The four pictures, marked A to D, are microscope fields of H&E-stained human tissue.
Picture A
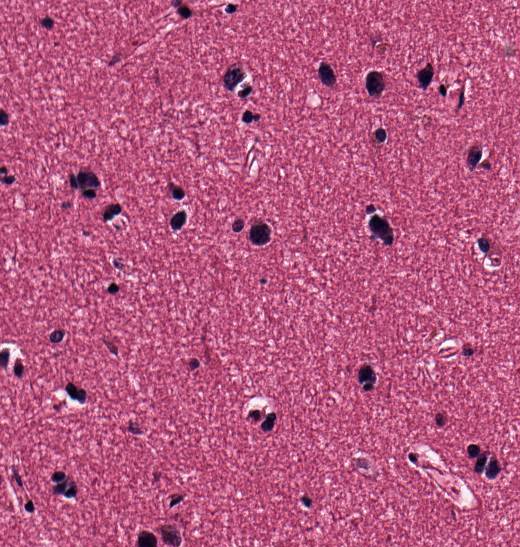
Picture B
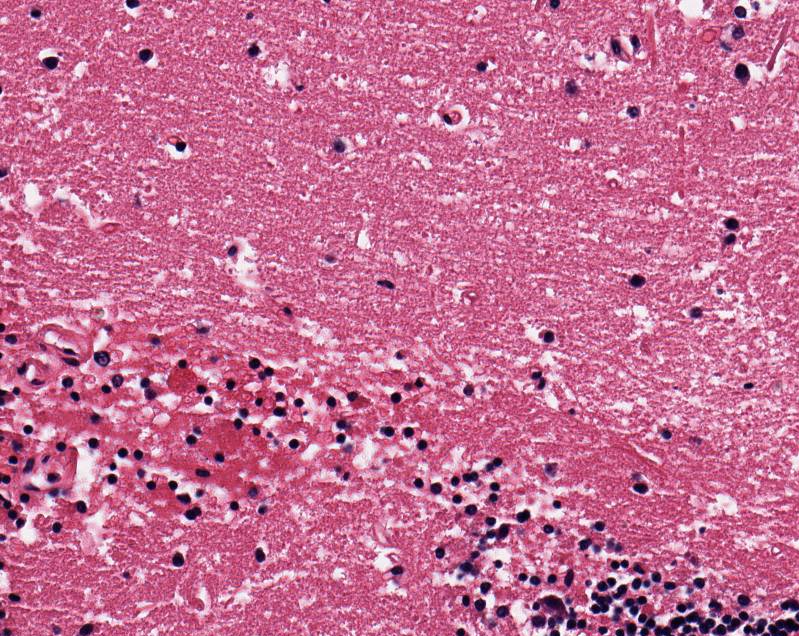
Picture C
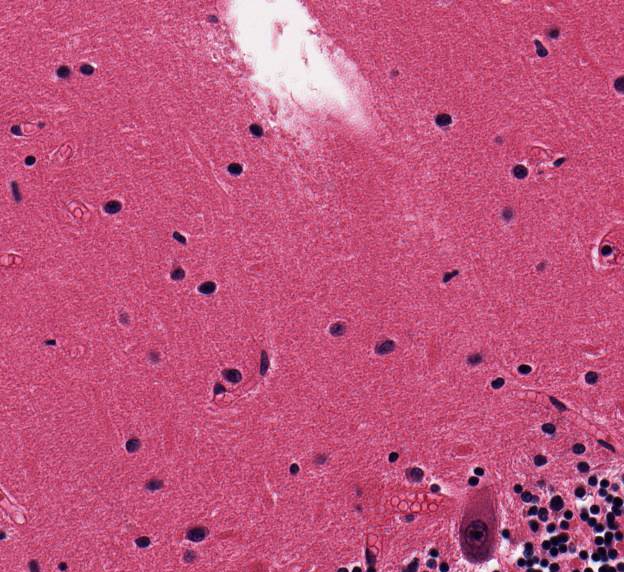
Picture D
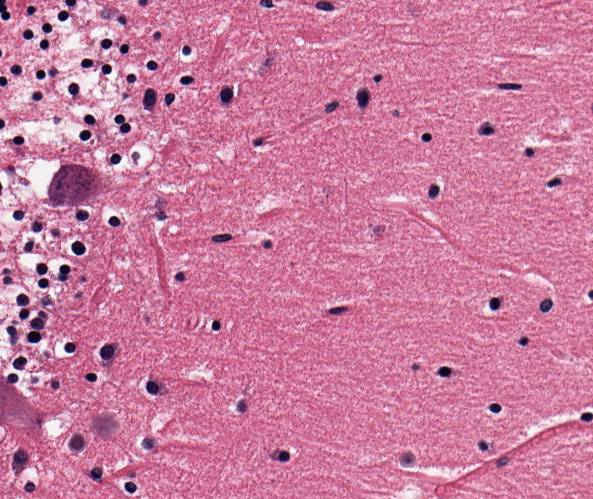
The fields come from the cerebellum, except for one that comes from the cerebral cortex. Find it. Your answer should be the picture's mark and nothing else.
A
